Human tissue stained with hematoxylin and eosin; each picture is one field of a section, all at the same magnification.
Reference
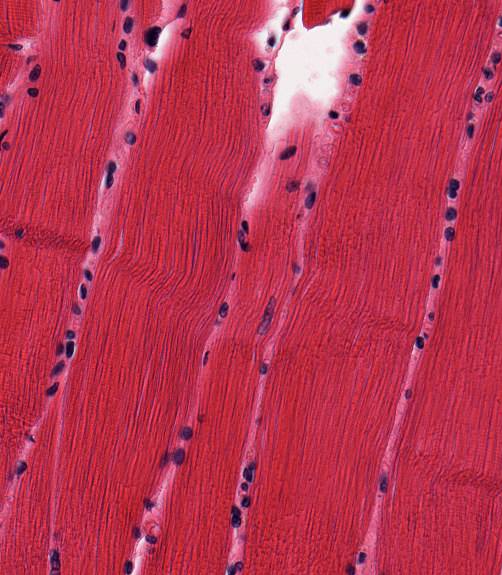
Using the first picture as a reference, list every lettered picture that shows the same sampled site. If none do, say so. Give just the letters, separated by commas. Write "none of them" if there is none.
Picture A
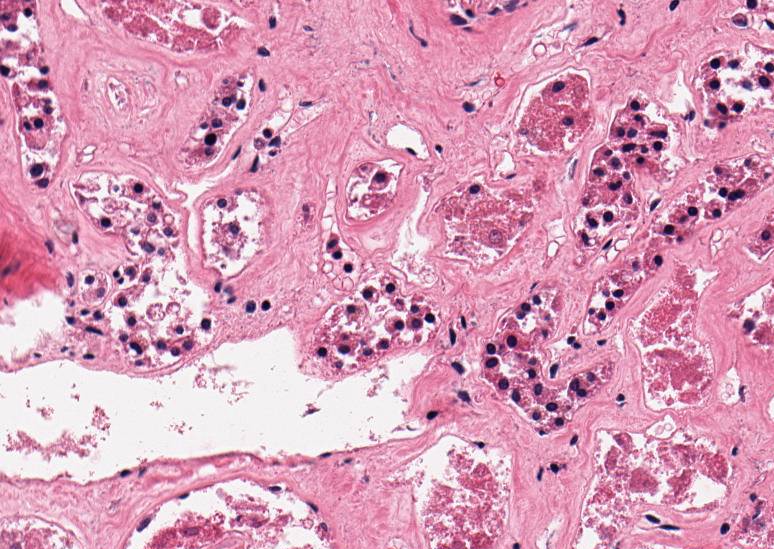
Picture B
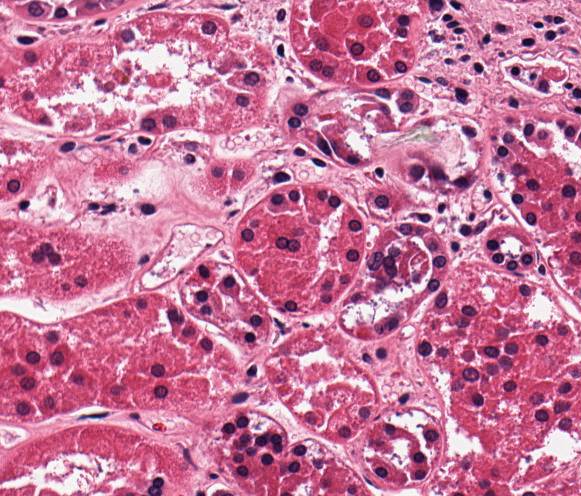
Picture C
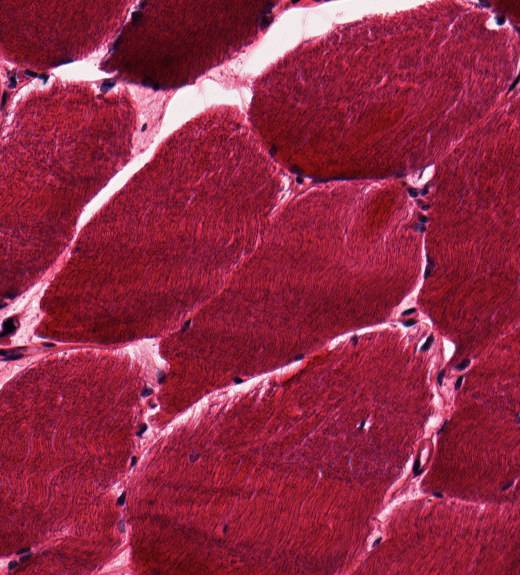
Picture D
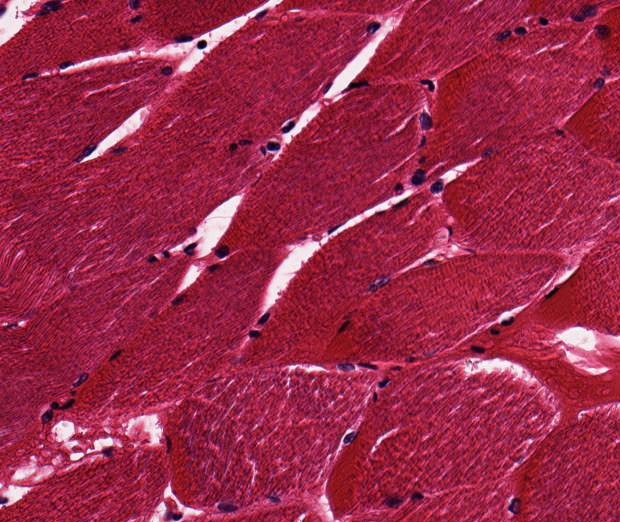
C, D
